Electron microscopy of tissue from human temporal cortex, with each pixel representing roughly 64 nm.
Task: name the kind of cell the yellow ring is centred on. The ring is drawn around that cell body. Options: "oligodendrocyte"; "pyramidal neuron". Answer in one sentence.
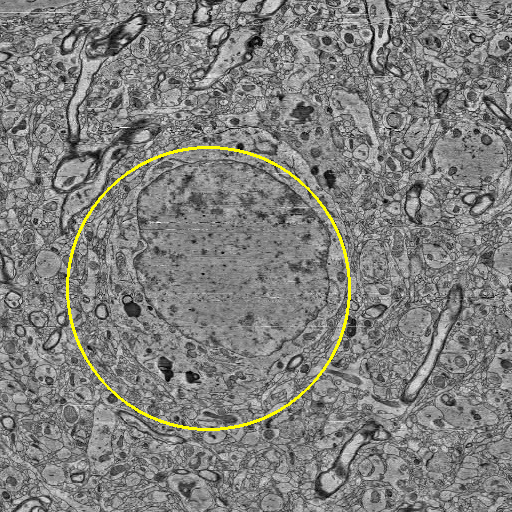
This cell body belongs to a pyramidal neuron.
